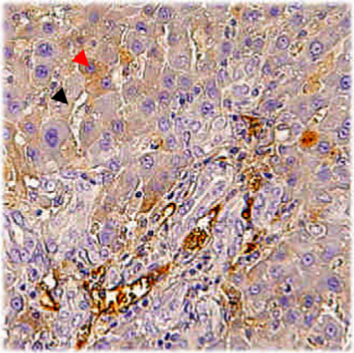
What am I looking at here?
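Liver tissue in which large polygonal hepatocytes with round central nuclei fill the upper part of the field, their cytoplasm diffusely tinted light brown. In the lower part, numerous small cells with dark, crowded nuclei lie between the hepatocytes. Channels in this region are filled or lined with intense dark-brown material, and some scattered cells show strong brown cytoplasm. The architecture is less regular than normal liver, with the plates of hepatocytes interrupted by the cellular areas.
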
